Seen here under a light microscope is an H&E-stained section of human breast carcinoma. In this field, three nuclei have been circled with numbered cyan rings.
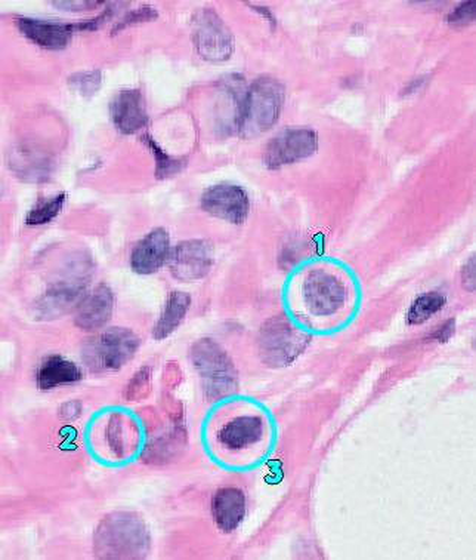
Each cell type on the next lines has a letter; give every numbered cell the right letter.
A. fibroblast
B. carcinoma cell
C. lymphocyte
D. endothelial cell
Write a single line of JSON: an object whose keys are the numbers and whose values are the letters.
{"1": "B", "2": "D", "3": "C"}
